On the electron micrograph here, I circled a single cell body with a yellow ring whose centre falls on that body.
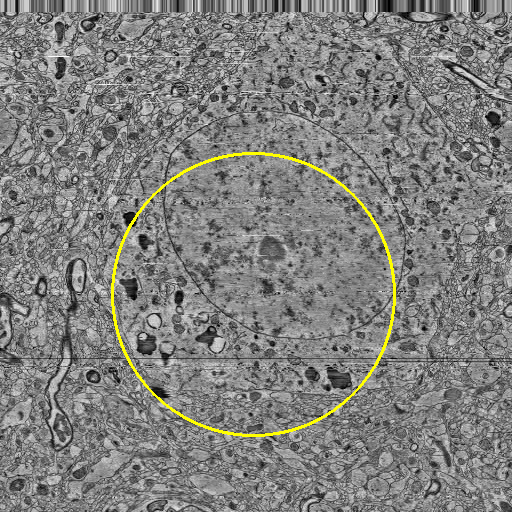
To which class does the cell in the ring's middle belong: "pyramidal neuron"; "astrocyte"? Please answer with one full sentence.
In this picture, the cell body circled at the ring's centre belongs to a pyramidal neuron.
